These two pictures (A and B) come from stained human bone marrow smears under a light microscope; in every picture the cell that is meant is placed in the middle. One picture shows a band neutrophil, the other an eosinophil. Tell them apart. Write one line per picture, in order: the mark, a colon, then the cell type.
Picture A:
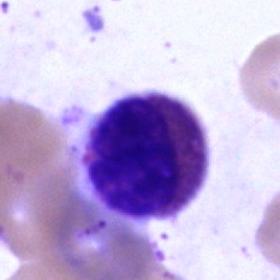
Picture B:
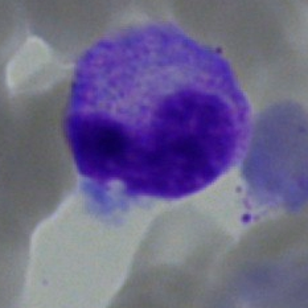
A: eosinophil
B: band neutrophil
